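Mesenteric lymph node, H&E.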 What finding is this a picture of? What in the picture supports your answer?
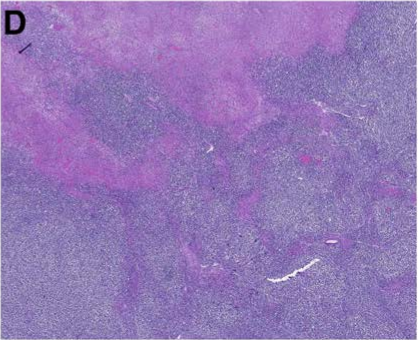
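Broad pale pink zones with few nuclei. These pink zones lie between dark blue densely cellular areas.
Conclusion: areas of necrosis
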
